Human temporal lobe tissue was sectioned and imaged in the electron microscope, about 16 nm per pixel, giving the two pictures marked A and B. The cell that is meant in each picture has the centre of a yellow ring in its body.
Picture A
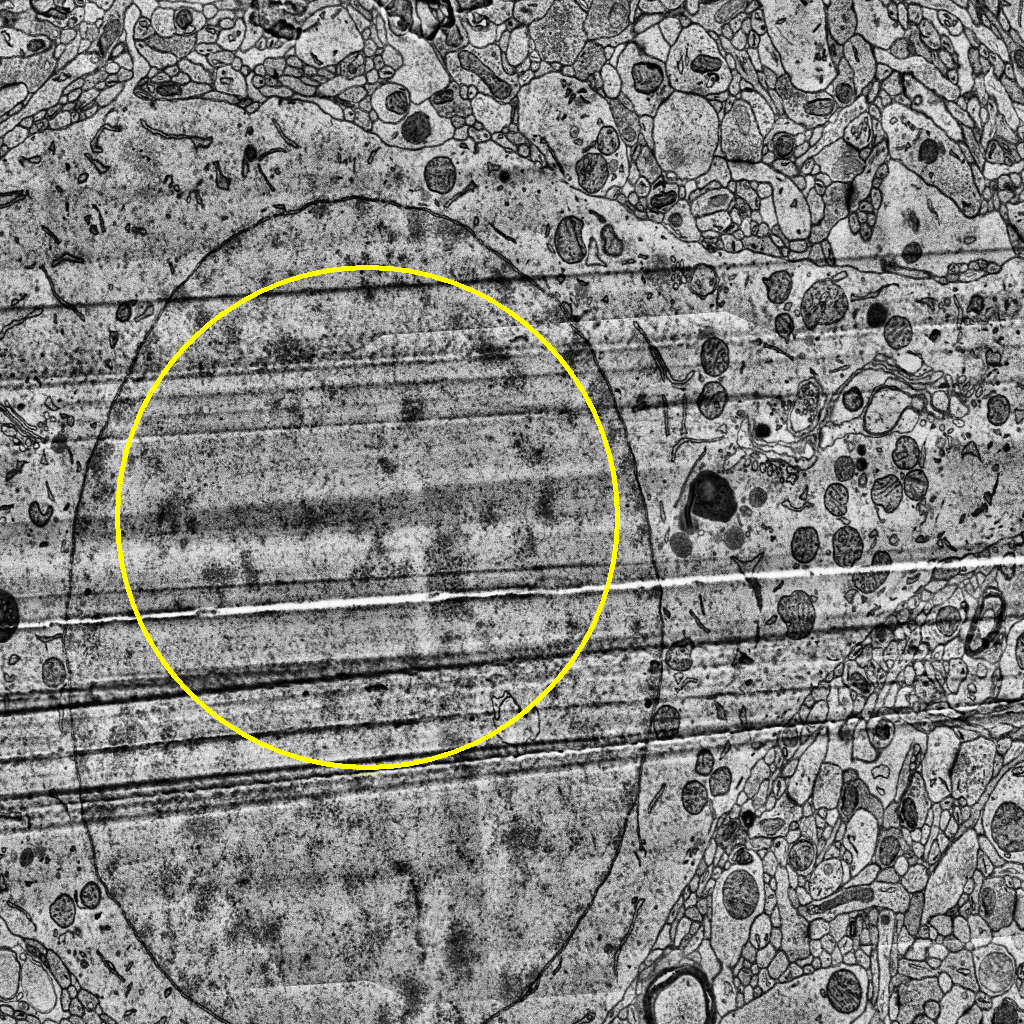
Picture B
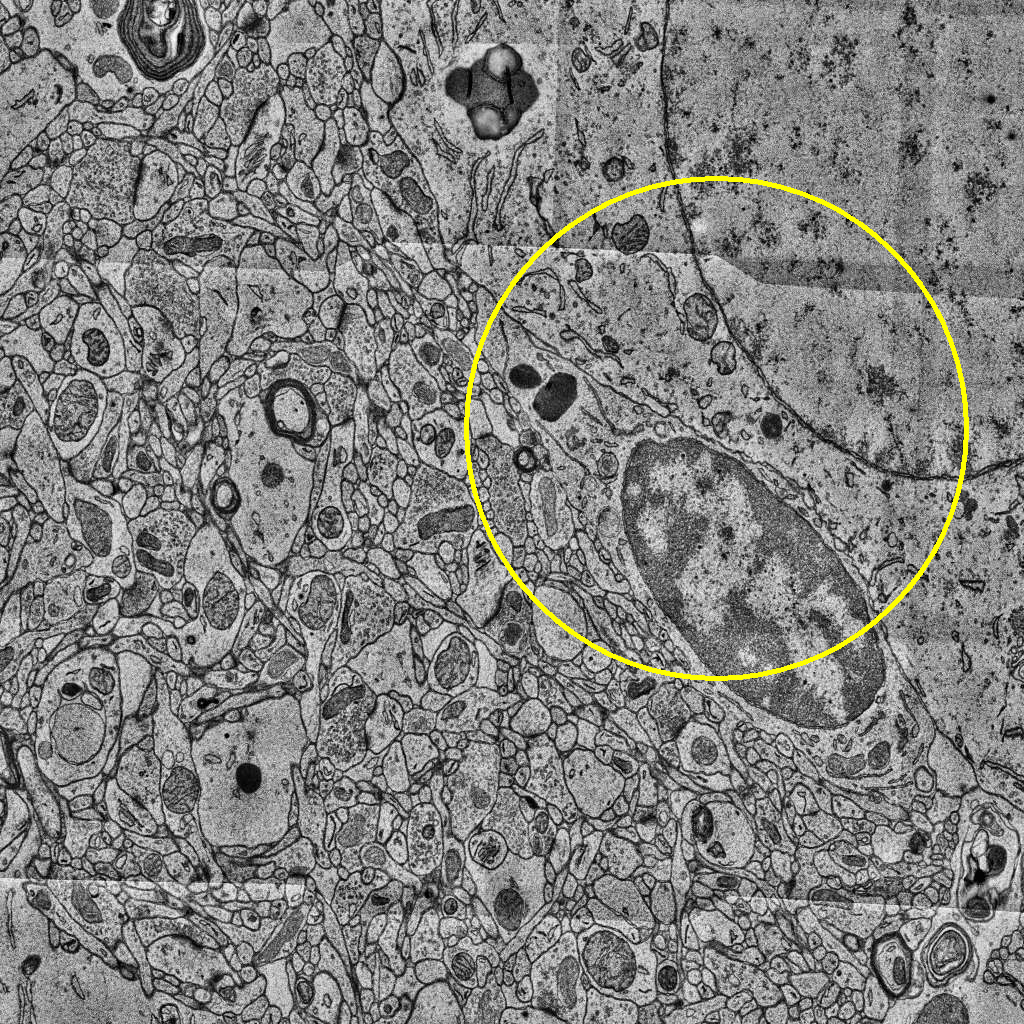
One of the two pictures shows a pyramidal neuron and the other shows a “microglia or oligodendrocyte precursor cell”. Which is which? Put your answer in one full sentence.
Picture A shows a pyramidal neuron and picture B shows a “microglia or oligodendrocyte precursor cell”.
